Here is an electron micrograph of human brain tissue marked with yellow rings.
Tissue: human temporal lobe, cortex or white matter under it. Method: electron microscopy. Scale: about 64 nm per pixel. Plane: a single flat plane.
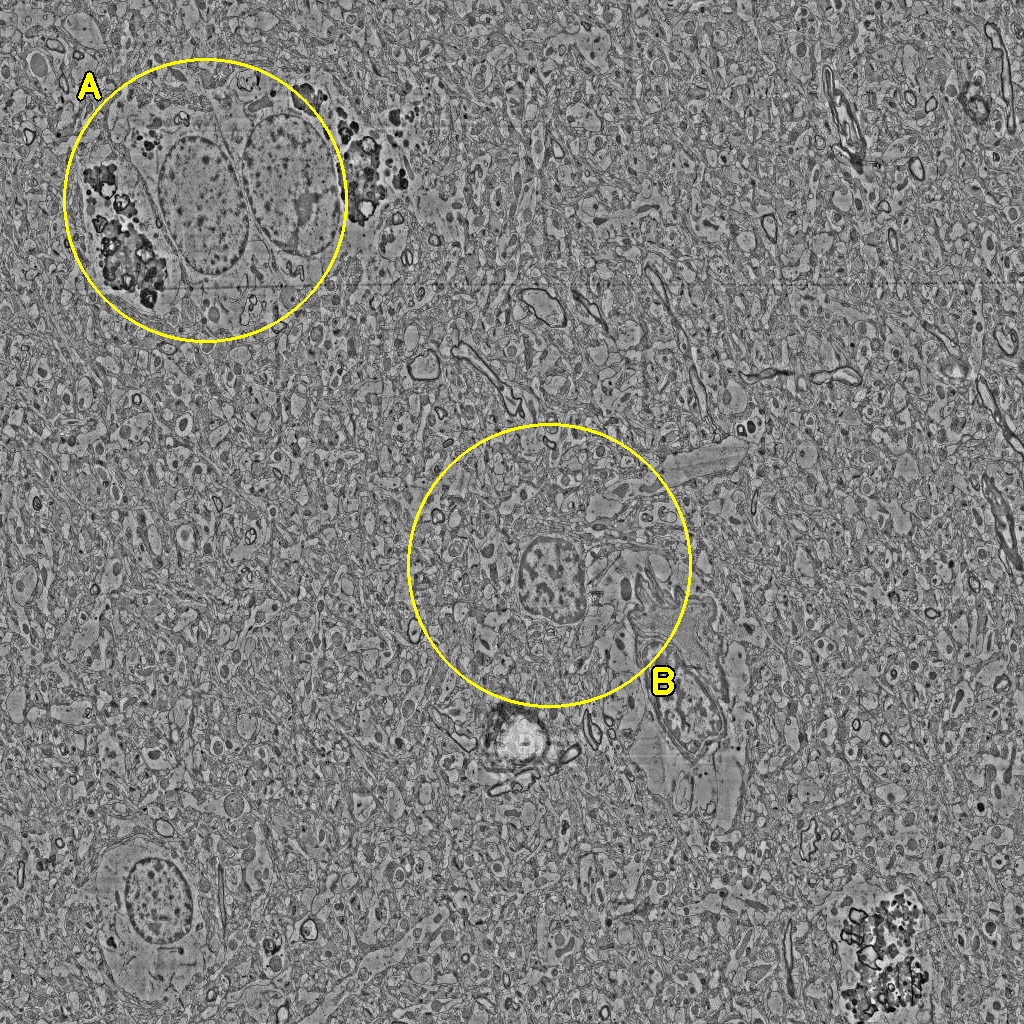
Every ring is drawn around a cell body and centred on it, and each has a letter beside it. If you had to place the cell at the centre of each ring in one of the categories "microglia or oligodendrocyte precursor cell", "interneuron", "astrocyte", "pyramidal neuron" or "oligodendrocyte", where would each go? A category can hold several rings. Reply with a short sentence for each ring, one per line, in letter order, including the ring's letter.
The centre of ring A holds an astrocyte.
The centre of ring B holds a microglial cell or oligodendrocyte precursor cell.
